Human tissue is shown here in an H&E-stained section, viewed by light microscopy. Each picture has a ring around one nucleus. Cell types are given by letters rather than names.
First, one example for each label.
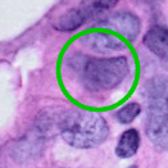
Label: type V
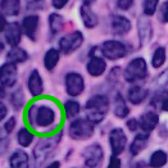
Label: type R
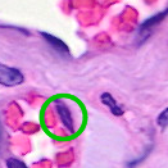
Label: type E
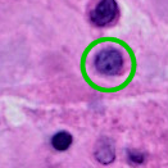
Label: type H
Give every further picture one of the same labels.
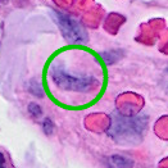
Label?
type E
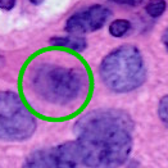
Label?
type V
